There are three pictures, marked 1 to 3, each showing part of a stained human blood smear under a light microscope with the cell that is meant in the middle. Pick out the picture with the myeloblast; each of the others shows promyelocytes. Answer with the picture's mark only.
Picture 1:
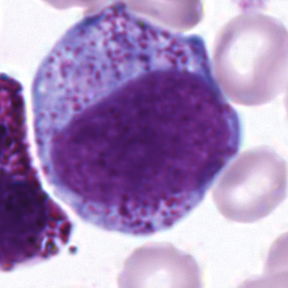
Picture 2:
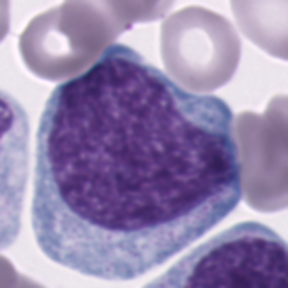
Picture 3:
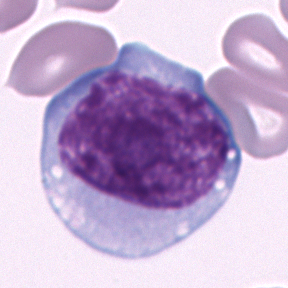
3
